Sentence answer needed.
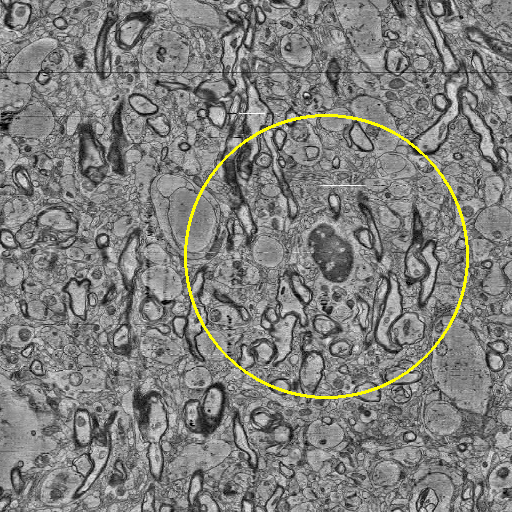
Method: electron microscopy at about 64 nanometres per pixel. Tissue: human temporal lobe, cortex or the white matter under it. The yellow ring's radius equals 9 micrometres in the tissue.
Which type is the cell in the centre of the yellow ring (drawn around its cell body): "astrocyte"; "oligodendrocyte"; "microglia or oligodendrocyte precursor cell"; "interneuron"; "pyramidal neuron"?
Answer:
In the centre of the yellow ring is a microglial cell or oligodendrocyte precursor cell.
